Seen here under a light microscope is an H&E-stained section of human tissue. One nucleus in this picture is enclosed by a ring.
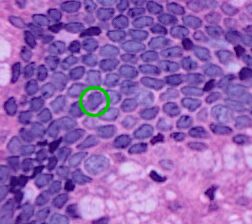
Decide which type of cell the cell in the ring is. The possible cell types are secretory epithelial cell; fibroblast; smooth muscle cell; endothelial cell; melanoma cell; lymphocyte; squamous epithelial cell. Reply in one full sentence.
In terms of identity, the cell in the ring is a secretory epithelial cell.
